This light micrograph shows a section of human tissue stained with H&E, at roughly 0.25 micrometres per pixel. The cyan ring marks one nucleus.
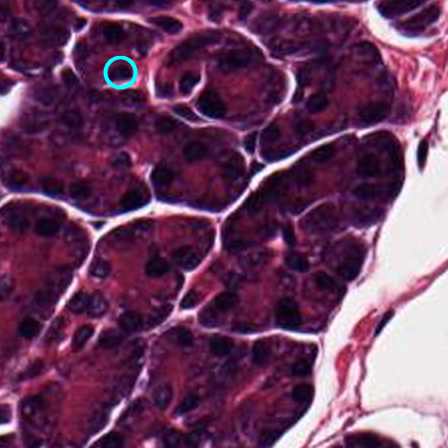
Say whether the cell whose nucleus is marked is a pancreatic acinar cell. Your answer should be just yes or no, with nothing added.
yes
